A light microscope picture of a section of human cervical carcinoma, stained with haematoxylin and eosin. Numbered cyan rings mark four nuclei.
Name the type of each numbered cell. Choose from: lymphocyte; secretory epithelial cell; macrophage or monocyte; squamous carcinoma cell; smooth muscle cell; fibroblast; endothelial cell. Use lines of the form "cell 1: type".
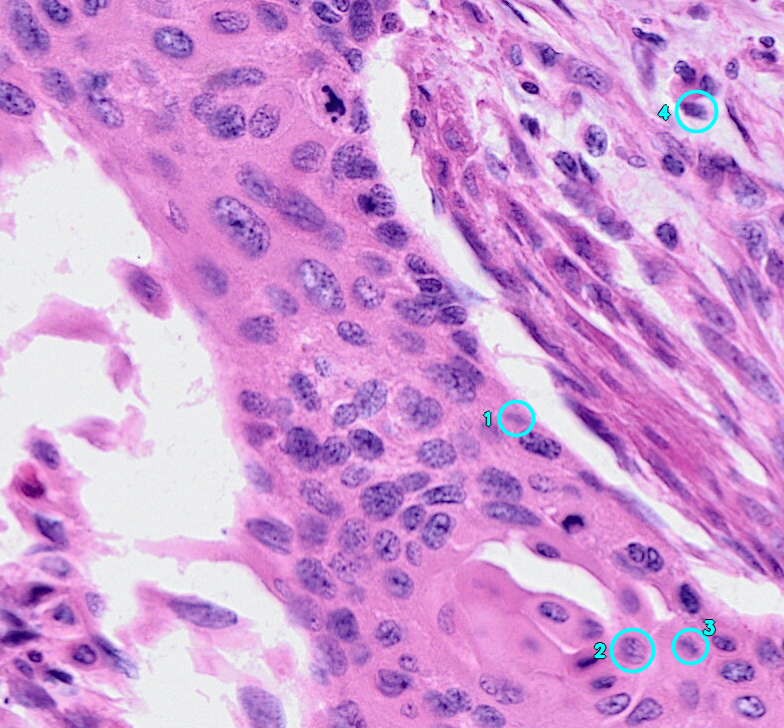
cell 1: squamous carcinoma cell
cell 2: squamous carcinoma cell
cell 3: squamous carcinoma cell
cell 4: lymphocyte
